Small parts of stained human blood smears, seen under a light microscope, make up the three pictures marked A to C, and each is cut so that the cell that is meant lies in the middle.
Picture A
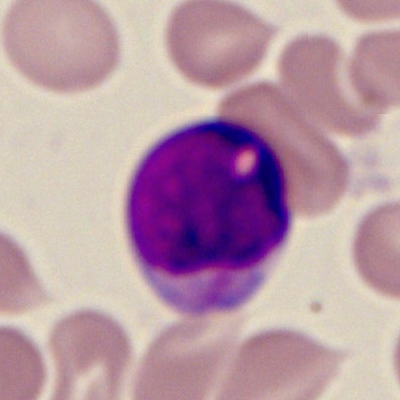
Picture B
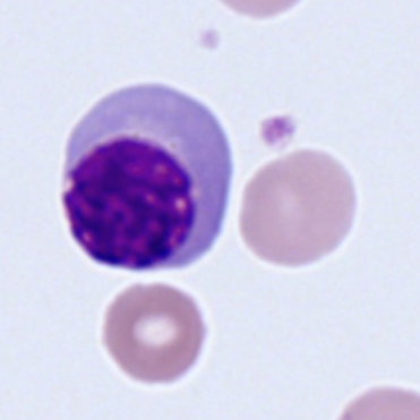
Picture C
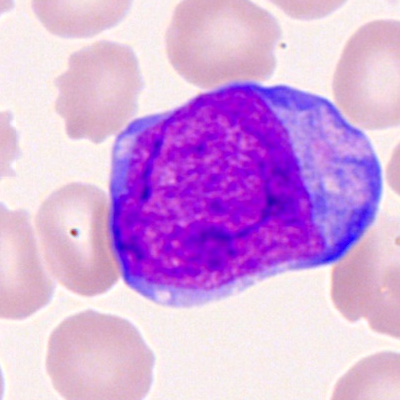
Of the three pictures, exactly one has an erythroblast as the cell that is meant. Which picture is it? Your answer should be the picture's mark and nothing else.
B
